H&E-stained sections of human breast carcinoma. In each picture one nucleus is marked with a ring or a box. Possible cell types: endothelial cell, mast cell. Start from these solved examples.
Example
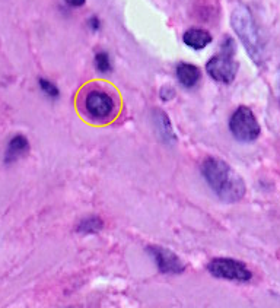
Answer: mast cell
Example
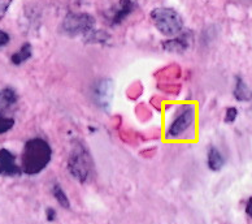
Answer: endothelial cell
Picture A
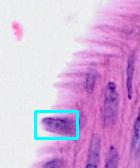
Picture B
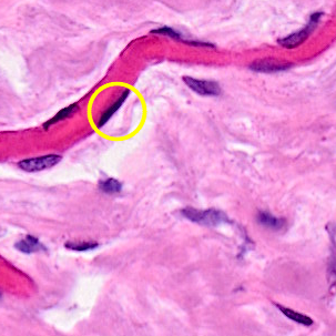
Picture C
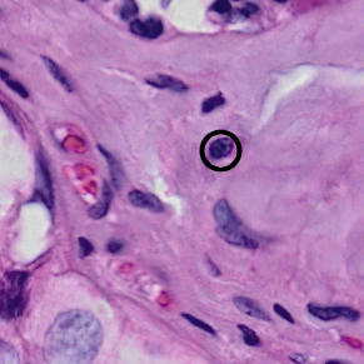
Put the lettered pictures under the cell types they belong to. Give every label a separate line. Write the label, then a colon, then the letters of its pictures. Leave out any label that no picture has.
endothelial cell: A, B
mast cell: C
